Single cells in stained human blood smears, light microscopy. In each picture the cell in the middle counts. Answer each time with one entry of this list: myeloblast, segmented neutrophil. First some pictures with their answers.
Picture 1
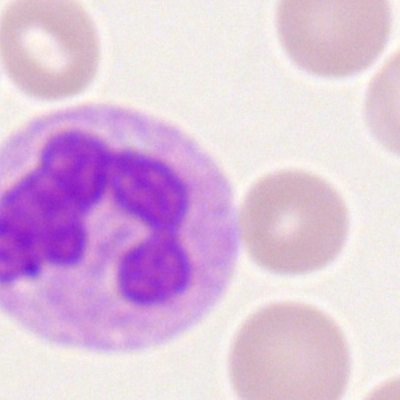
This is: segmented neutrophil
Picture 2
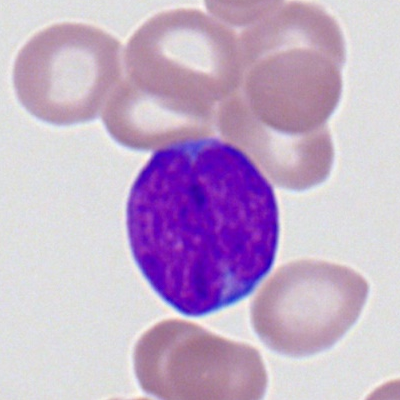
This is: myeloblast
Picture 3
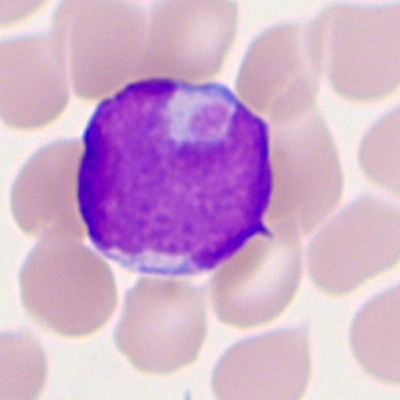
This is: myeloblast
